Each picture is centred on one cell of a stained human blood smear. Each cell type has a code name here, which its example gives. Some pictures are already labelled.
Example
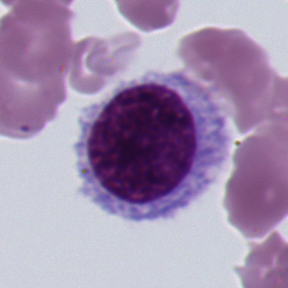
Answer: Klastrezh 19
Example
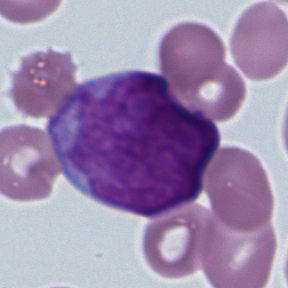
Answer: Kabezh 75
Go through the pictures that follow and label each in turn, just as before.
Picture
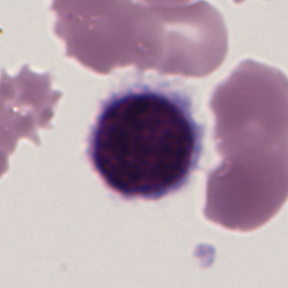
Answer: Klastrezh 19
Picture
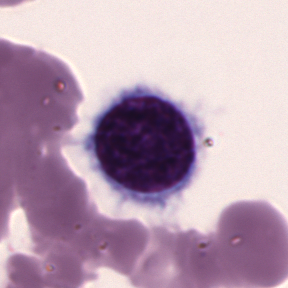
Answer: Klastrezh 19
